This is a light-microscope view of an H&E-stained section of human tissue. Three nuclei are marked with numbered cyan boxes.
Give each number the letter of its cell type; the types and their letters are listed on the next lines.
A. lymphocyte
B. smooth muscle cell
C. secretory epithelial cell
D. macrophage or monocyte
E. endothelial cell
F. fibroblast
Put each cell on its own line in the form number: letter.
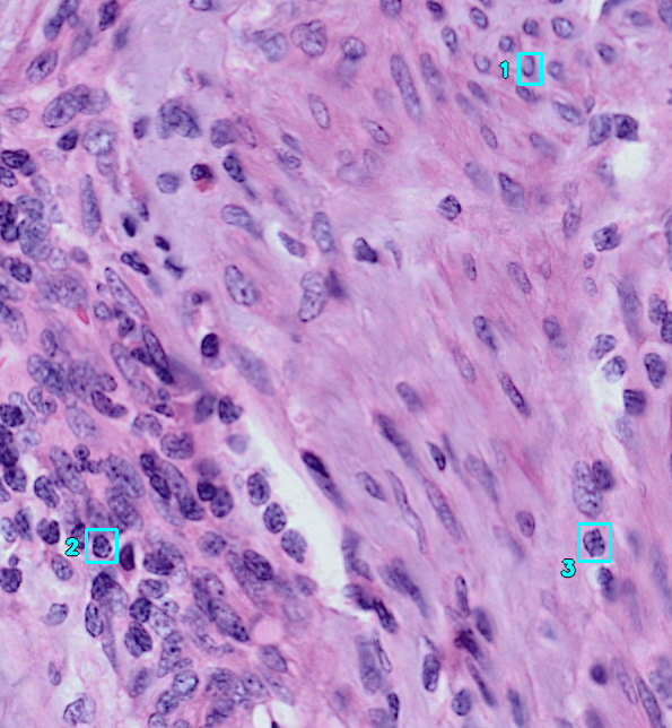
1: B
2: A
3: A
